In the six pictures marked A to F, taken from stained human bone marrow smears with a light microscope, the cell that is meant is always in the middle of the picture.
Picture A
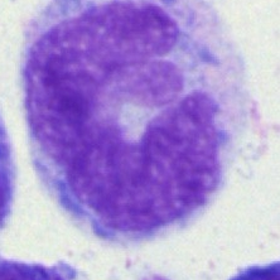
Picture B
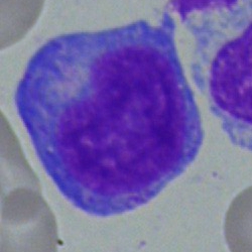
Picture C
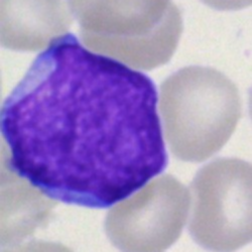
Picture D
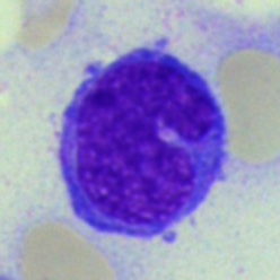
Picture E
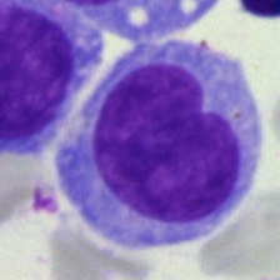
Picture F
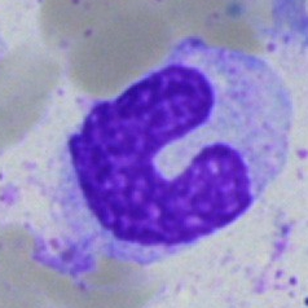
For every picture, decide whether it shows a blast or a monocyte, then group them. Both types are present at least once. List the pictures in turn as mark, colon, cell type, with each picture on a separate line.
A: monocyte
B: blast
C: blast
D: monocyte
E: monocyte
F: monocyte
